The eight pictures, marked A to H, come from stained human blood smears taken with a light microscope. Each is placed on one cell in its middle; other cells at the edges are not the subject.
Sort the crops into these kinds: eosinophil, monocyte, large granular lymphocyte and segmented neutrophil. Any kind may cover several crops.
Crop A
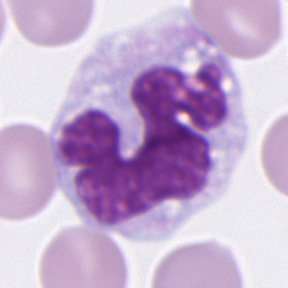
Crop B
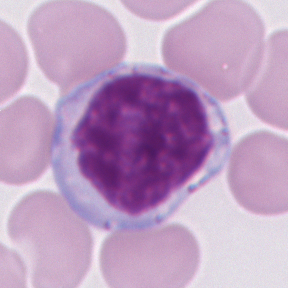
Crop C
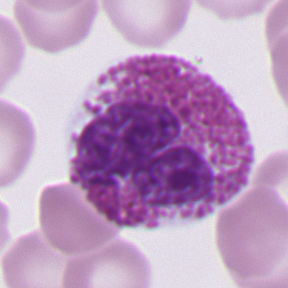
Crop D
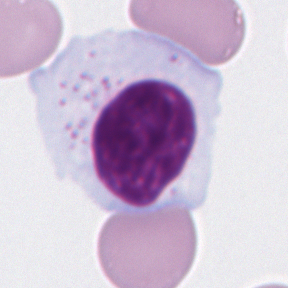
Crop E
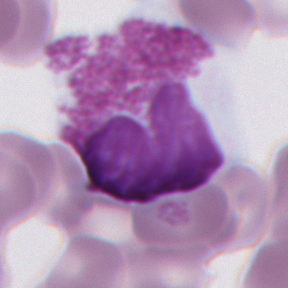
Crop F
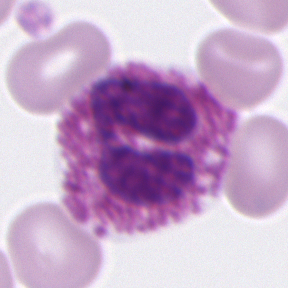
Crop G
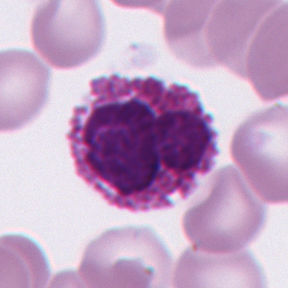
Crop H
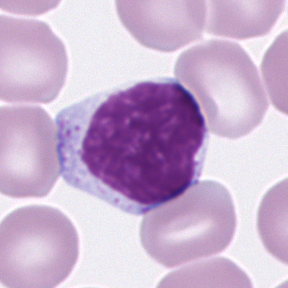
A: monocyte
B: large granular lymphocyte
C: eosinophil
D: large granular lymphocyte
E: eosinophil
F: eosinophil
G: eosinophil
H: large granular lymphocyte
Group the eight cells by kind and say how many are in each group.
eosinophil: 4
large granular lymphocyte: 3
monocyte: 1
